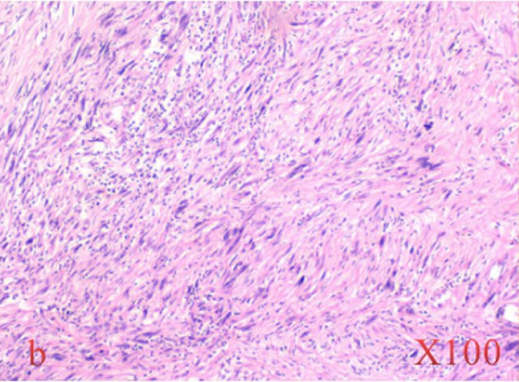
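This is a densely cellular tumour made up of fusiform, spindle-shaped cells lying in a pale pink fibrillary background. Their nuclei are elongated and dark purple, some slender and wavy, and the cytoplasm is pale and poorly outlined. The cells run in streams and loose fascicles that change direction across the field, with nuclei lying roughly parallel to one another in places. Scattered small round dark nuclei lie between the spindle cells.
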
